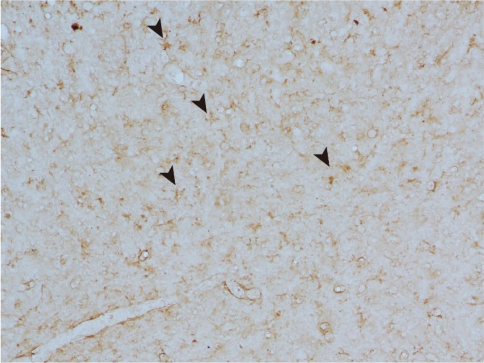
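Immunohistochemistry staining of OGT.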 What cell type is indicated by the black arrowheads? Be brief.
glial cells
